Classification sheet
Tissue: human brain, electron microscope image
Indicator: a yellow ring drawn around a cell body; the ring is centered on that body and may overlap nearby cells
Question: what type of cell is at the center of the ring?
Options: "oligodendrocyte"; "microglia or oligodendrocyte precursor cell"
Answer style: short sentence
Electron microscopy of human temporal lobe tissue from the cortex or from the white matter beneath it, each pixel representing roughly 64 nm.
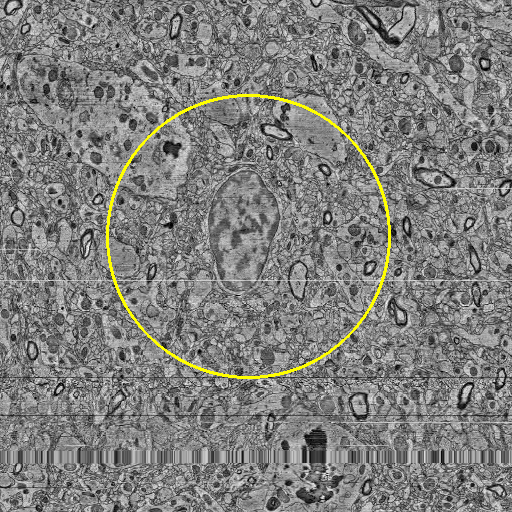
At the ring's center is a microglial cell or oligodendrocyte precursor cell.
